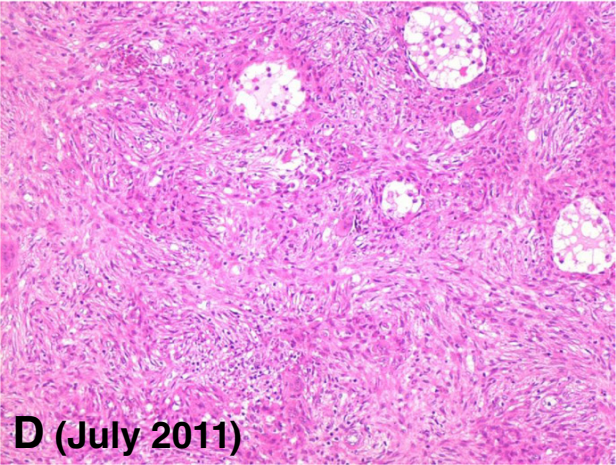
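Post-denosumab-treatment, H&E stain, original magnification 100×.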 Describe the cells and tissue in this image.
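This tumor tissue consists mainly of spindle-shaped mononuclear cells, with giant cells largely absent. The spindle cells have elongated nuclei and pink cytoplasm and are arranged in interlacing bundles and vague whorls. Scattered through the field are a few rounded clusters of pale cells with clear, vacuolated cytoplasm. No large cells with many clustered nuclei stand out.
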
